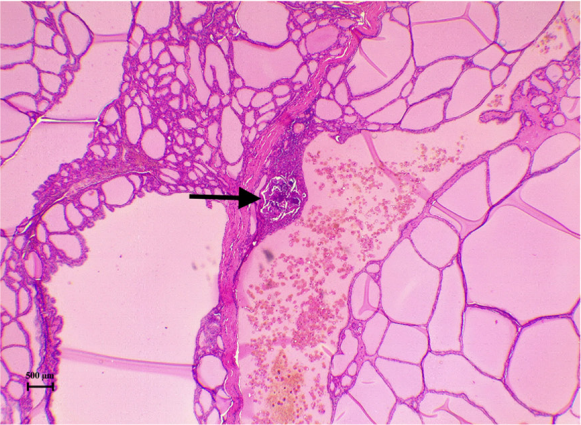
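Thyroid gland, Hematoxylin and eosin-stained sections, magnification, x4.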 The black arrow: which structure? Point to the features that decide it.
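Psammoma bodies. A small dark irregular concretion within a fibrous septum. Surrounded by large colloid-filled follicles.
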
